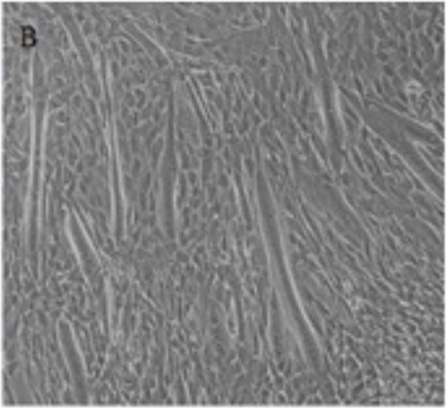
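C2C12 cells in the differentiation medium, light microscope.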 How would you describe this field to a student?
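Dense, confluent culture in which long, thin myotubes stretch across the field. Between and beneath them lies a packed sheet of small flat cells with no open dish visible.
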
